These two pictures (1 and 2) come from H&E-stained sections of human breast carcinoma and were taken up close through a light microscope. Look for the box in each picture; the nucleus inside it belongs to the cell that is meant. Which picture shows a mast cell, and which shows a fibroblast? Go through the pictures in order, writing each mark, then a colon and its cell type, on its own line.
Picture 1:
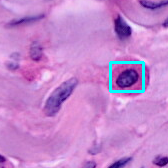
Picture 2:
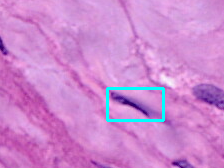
1: mast cell
2: fibroblast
